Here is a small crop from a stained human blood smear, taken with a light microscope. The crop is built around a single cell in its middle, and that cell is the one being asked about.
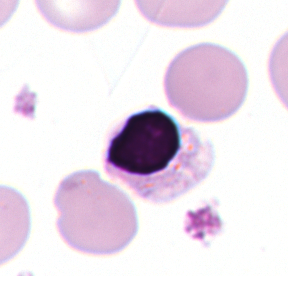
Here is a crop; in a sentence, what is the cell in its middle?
The cell in the middle of the field of view is an erythroblast.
